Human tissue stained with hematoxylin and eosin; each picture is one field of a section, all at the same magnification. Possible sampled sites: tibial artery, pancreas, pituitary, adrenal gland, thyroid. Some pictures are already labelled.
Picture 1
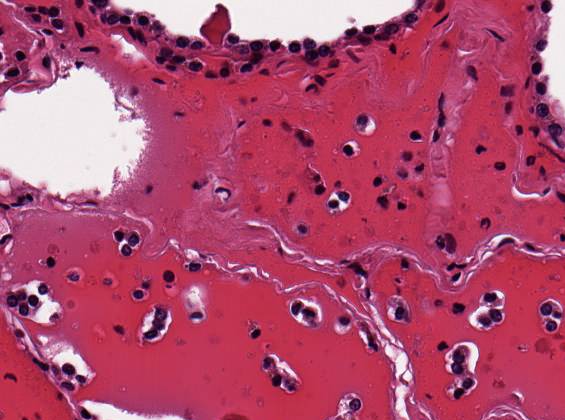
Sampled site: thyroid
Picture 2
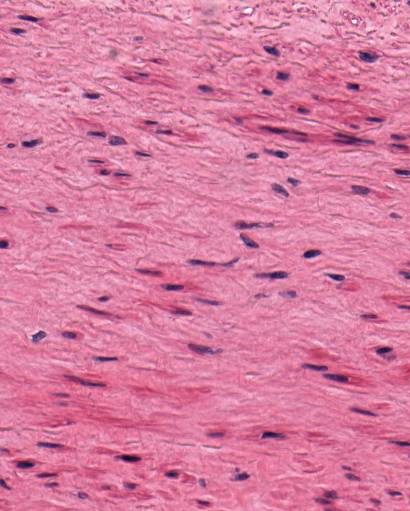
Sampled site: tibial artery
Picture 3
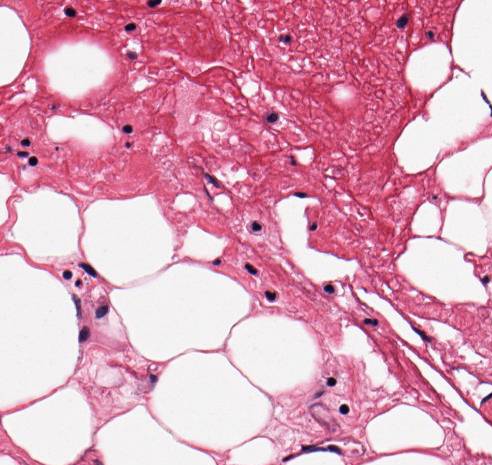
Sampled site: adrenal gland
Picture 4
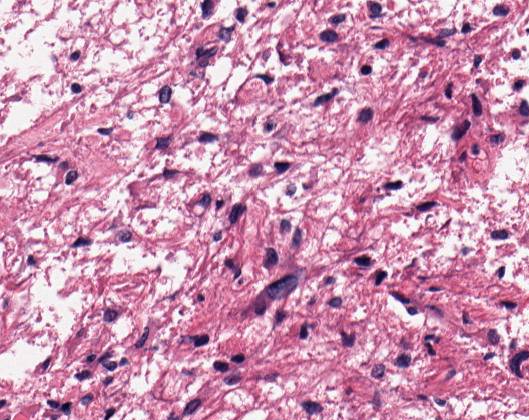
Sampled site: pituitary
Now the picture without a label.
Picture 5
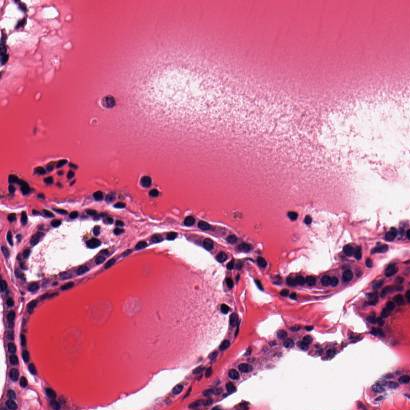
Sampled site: thyroid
